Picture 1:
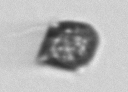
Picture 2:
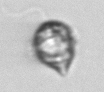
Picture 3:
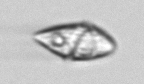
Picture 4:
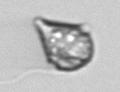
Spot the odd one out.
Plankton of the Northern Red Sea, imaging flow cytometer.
Picture 3 (Gyrodinium among Scrippsiella).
